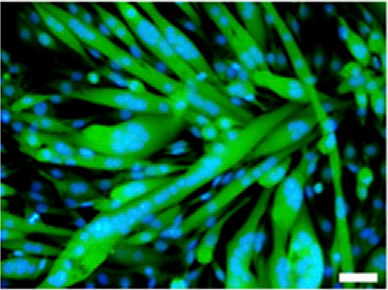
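These are myotubes, elongated multinucleated muscle cells stained green. They vary in width, some broad and swollen with clusters of blue nuclei, others thin and spindle-like. They run in many directions, crossing and converging on one another rather than lying in parallel. Many small blue nuclei lie scattered between them.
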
